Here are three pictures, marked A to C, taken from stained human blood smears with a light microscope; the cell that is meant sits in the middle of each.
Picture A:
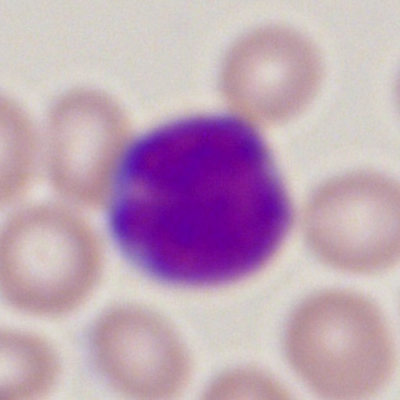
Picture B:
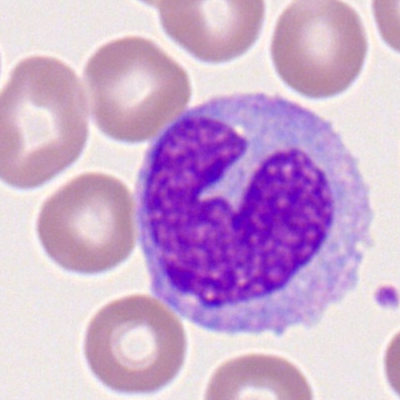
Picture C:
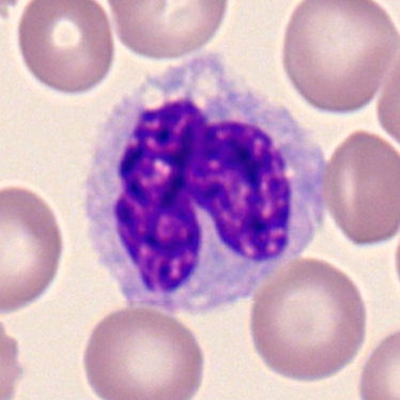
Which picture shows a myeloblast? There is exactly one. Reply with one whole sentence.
The picture with the myeloblast is A.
